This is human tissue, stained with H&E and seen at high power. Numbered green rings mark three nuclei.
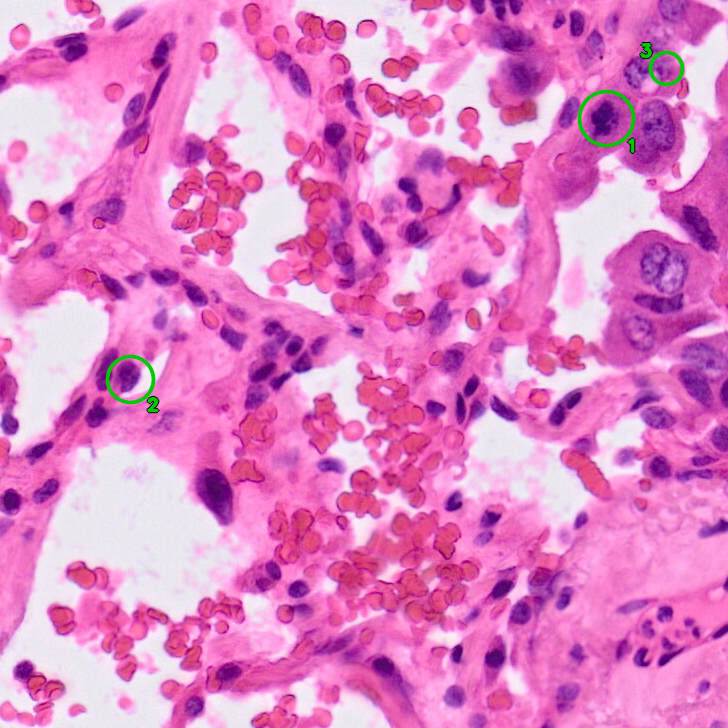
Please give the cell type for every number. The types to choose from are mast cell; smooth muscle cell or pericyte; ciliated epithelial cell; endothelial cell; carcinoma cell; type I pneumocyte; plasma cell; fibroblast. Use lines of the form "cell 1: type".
cell 1: carcinoma cell
cell 2: type I pneumocyte
cell 3: carcinoma cell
